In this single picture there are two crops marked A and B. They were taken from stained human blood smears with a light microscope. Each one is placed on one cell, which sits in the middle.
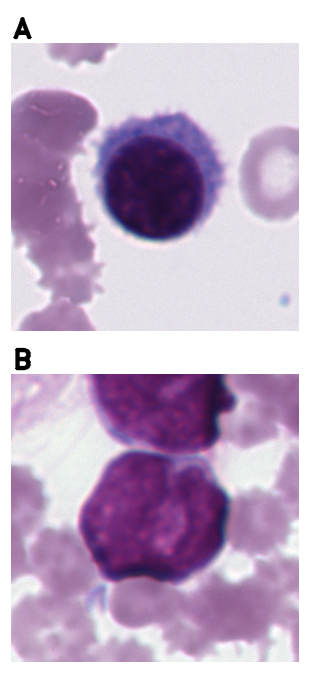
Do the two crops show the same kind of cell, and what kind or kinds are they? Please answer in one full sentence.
No, a hairy cell is what crop A shows, and a myeloblast is what crop B shows.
